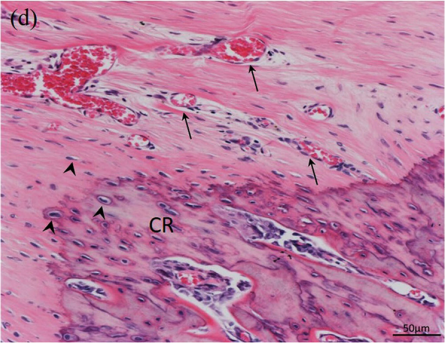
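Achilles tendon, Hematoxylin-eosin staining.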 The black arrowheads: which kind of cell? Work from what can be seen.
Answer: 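Chondrocyte-like cells. The arrowheads point to rounded cells surrounded by a clear halo. These cells lie in a dense pink matrix, unlike the elongated fibre cells above.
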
